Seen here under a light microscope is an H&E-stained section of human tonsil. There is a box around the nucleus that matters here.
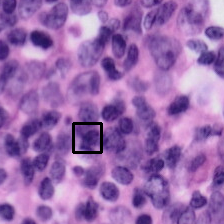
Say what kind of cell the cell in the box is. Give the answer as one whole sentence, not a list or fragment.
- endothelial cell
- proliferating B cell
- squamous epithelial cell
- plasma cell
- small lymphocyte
The cell type of the cell in the box is that of a proliferating B cell.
